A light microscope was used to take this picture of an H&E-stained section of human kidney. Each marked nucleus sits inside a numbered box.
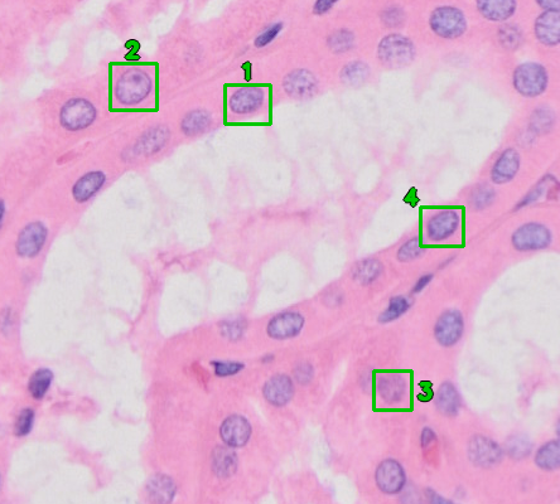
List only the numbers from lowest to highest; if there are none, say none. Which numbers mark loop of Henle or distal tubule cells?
1, 4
